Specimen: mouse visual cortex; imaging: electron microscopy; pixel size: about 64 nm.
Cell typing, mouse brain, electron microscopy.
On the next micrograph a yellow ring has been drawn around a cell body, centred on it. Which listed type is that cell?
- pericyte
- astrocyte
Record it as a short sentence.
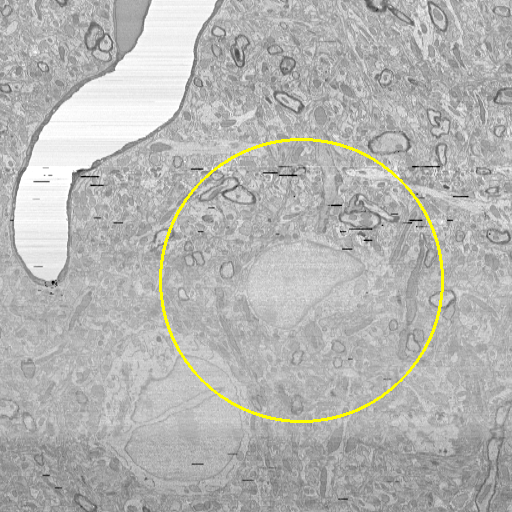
The cell body in the ring's centre belongs to an astrocyte.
